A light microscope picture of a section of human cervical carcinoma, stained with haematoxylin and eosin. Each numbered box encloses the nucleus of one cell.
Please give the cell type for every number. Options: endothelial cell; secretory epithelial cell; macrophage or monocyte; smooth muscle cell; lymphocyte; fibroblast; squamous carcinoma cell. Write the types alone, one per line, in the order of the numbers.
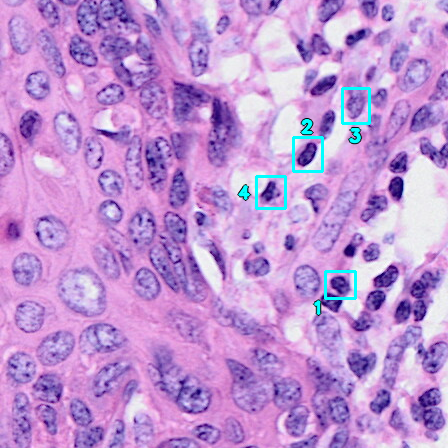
lymphocyte
lymphocyte
macrophage or monocyte
lymphocyte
